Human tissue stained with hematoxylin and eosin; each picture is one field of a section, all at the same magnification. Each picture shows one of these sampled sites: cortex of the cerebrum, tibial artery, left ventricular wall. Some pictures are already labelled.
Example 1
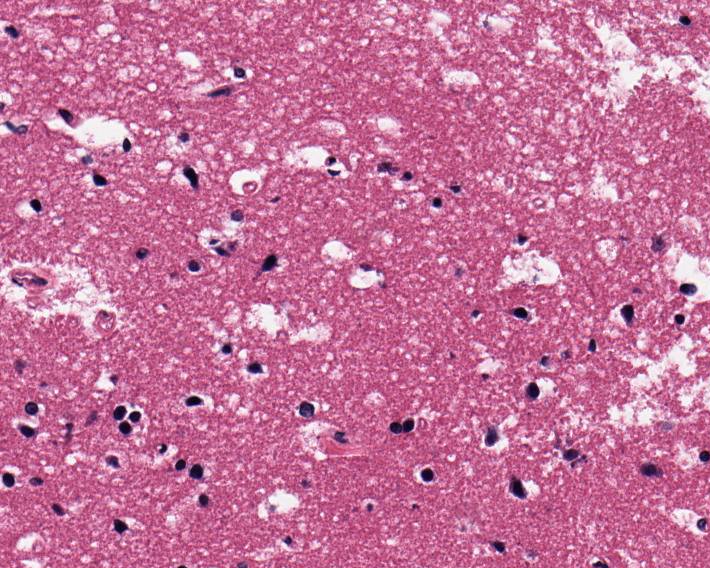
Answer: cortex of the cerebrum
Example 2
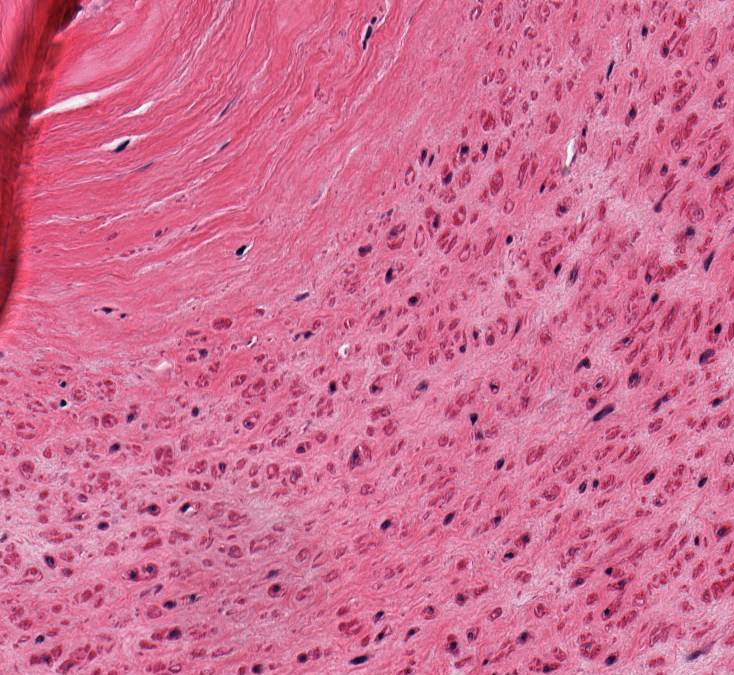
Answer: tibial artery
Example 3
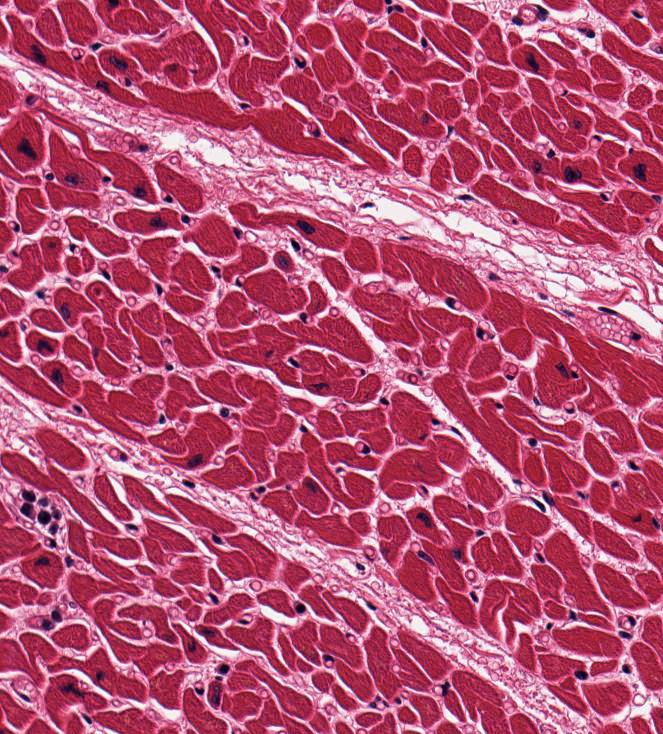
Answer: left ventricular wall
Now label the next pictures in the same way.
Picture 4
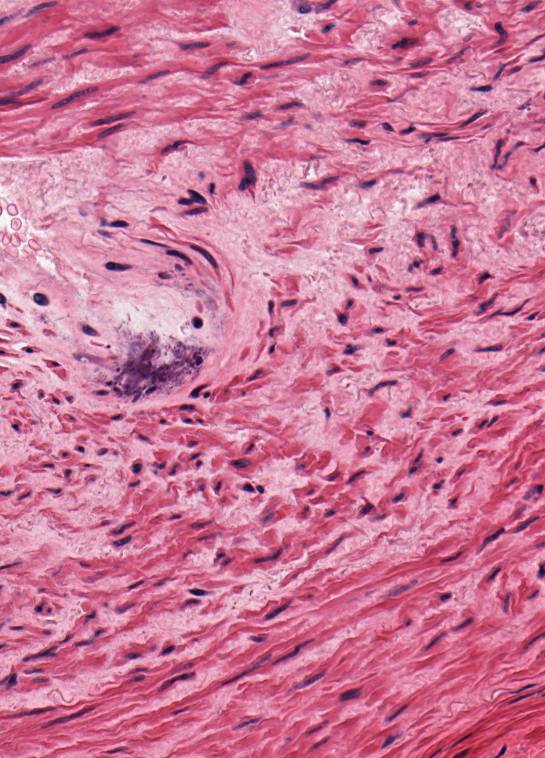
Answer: tibial artery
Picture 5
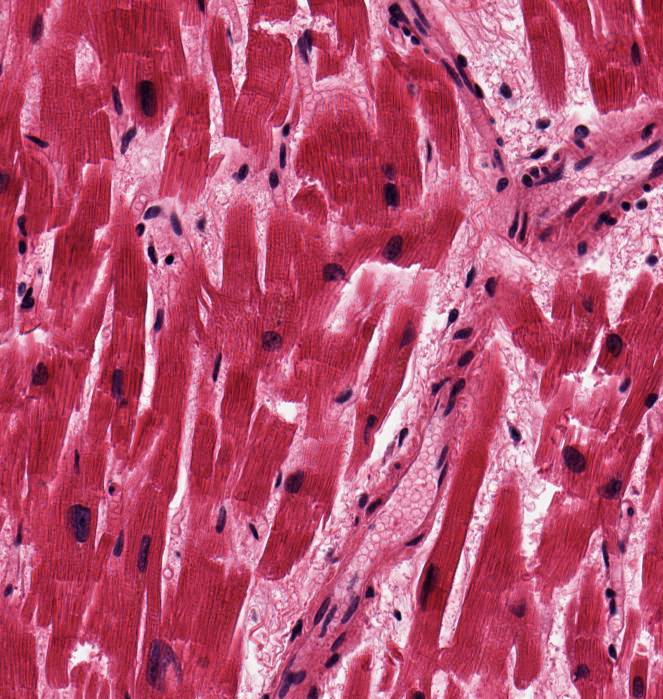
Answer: left ventricular wall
